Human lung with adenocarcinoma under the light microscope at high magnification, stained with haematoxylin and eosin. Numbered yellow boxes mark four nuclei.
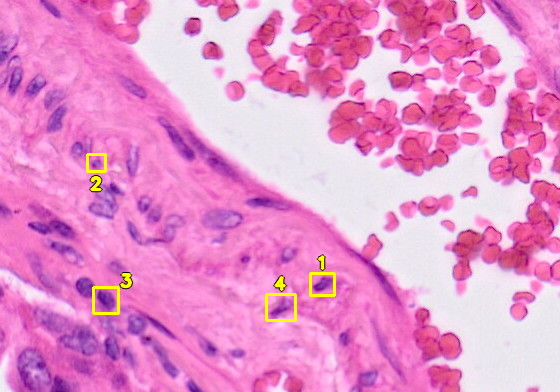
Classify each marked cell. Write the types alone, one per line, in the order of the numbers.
smooth muscle cell or pericyte
smooth muscle cell or pericyte
lymphocyte
smooth muscle cell or pericyte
